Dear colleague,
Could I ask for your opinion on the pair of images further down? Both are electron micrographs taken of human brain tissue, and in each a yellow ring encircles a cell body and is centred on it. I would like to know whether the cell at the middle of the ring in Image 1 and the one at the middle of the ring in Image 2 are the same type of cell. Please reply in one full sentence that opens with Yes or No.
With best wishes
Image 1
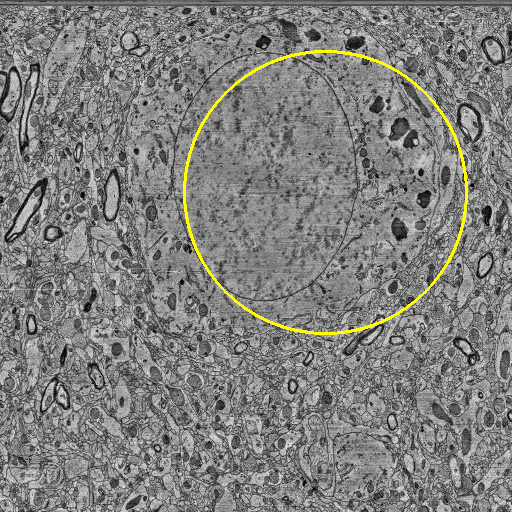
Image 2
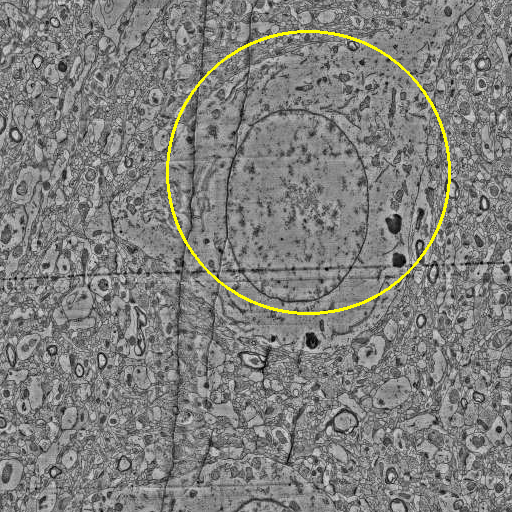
Yes, the cells at the ring centres in Image 1 and Image 2 are of one type.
